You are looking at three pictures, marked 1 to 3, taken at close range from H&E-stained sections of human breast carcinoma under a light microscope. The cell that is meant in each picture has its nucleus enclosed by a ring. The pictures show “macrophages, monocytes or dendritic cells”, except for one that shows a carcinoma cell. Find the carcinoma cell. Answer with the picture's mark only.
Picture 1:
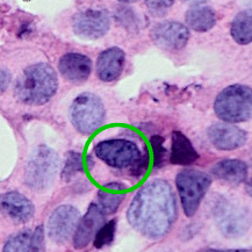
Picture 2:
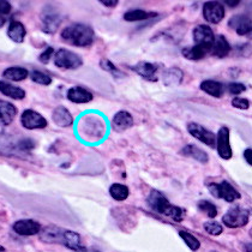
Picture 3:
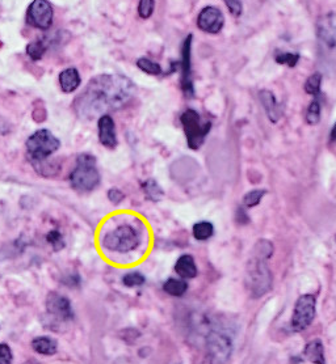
1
